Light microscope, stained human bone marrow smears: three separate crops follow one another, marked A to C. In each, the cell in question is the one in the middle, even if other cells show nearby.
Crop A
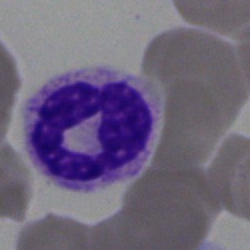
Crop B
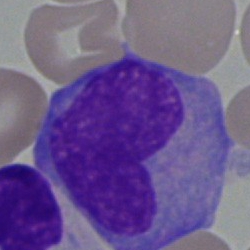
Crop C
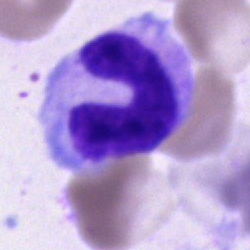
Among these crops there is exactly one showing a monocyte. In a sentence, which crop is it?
That would be crop B; it shows a monocyte.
